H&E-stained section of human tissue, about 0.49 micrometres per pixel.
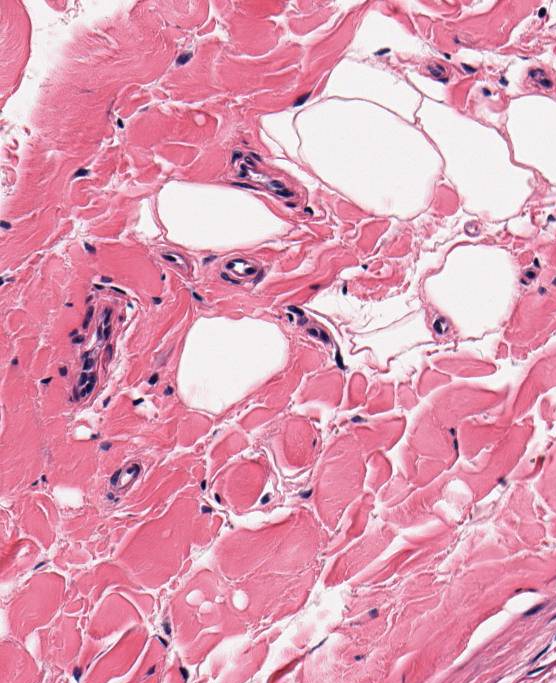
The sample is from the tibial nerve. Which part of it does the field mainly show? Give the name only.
epineurium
